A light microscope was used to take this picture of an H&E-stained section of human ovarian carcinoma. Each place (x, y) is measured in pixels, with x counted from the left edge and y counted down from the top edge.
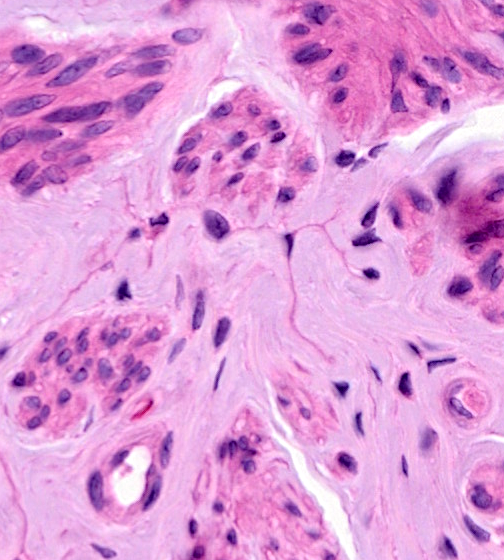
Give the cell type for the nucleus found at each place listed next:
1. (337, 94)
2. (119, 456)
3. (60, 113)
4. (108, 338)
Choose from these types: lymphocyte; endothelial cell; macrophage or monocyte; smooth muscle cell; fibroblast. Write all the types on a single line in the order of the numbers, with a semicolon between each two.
smooth muscle cell; endothelial cell; smooth muscle cell; smooth muscle cell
